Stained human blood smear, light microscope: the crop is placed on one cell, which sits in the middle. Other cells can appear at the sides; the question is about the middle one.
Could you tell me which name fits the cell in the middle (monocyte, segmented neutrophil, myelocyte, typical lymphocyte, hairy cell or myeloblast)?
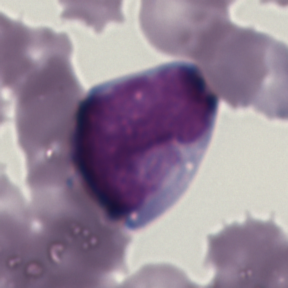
myeloblast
